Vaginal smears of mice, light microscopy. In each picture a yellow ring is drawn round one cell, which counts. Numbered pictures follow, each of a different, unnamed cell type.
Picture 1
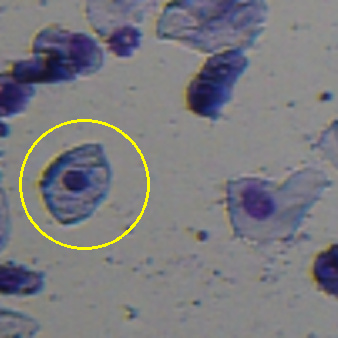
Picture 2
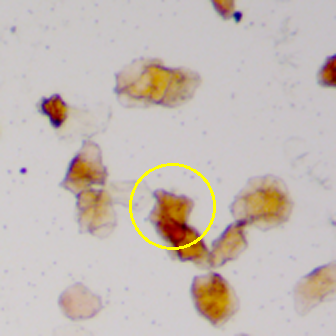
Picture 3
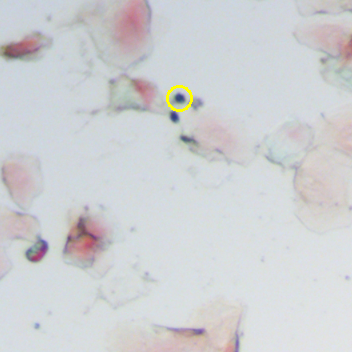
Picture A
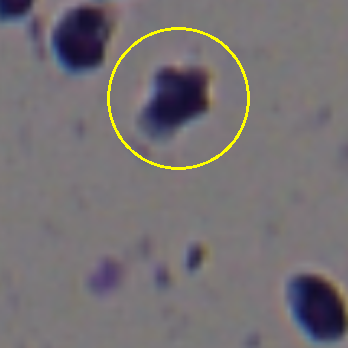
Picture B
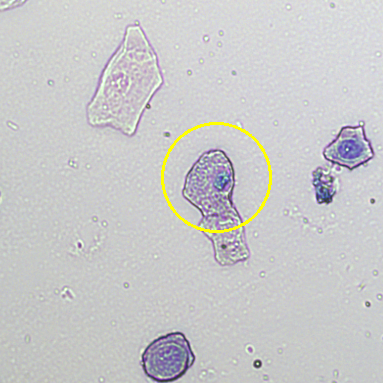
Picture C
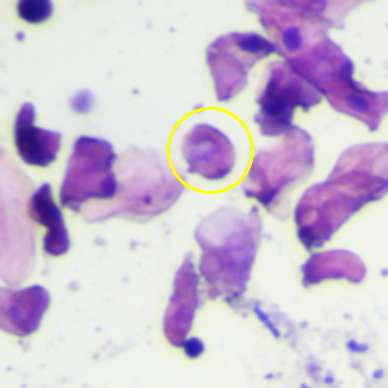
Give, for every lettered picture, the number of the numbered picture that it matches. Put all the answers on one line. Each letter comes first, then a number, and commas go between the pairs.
A 3, B 1, C 1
